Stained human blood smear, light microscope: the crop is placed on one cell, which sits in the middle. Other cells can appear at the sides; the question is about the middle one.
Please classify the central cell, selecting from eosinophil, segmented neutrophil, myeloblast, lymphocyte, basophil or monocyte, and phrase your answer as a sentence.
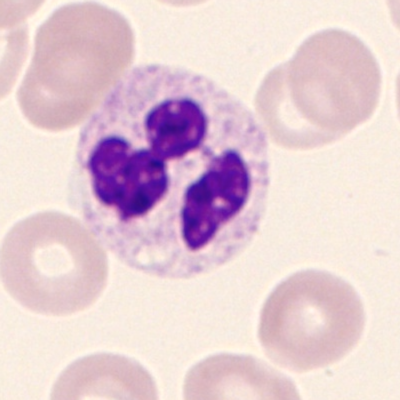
The center cell of this crop is a segmented neutrophil.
